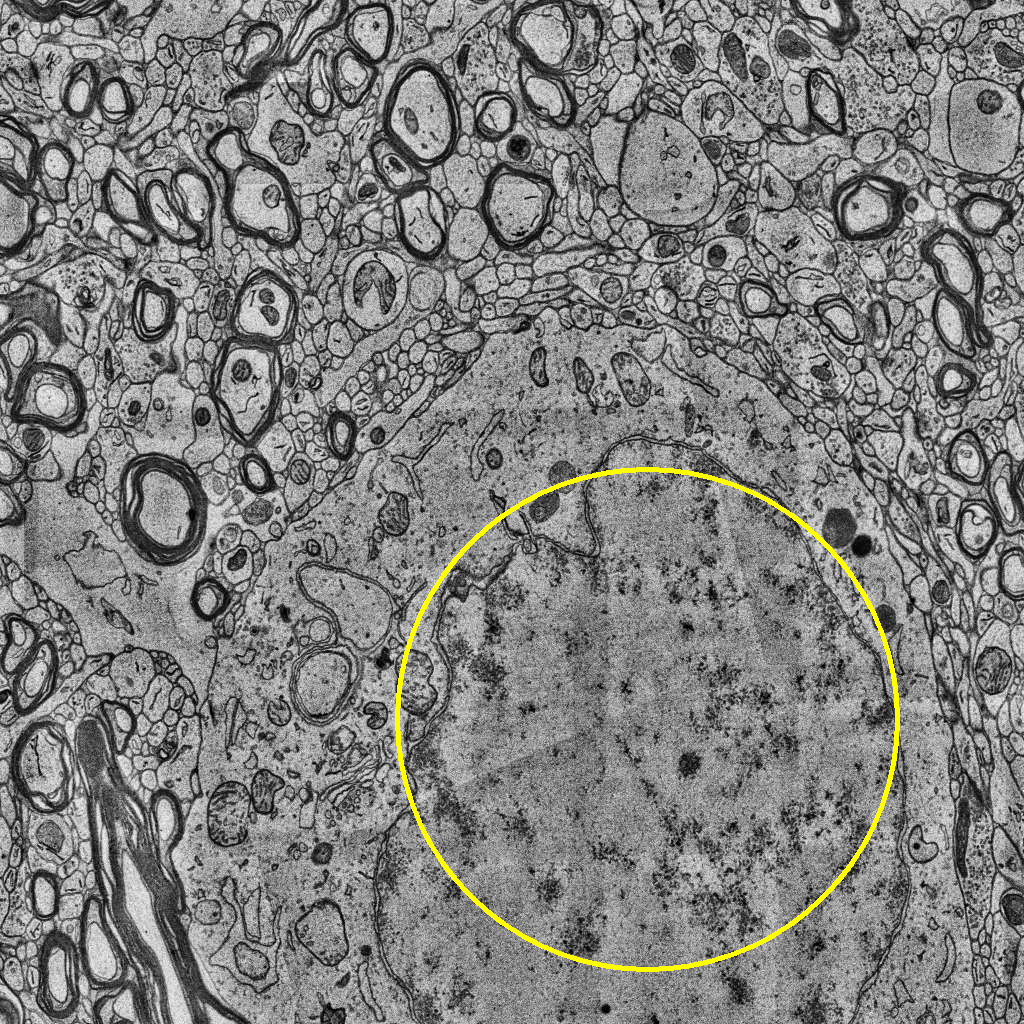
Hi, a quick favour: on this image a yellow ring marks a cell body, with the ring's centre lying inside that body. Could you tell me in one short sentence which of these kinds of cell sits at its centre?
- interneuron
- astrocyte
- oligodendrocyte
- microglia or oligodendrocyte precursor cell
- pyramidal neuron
The ring's centre lies in an interneuron.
